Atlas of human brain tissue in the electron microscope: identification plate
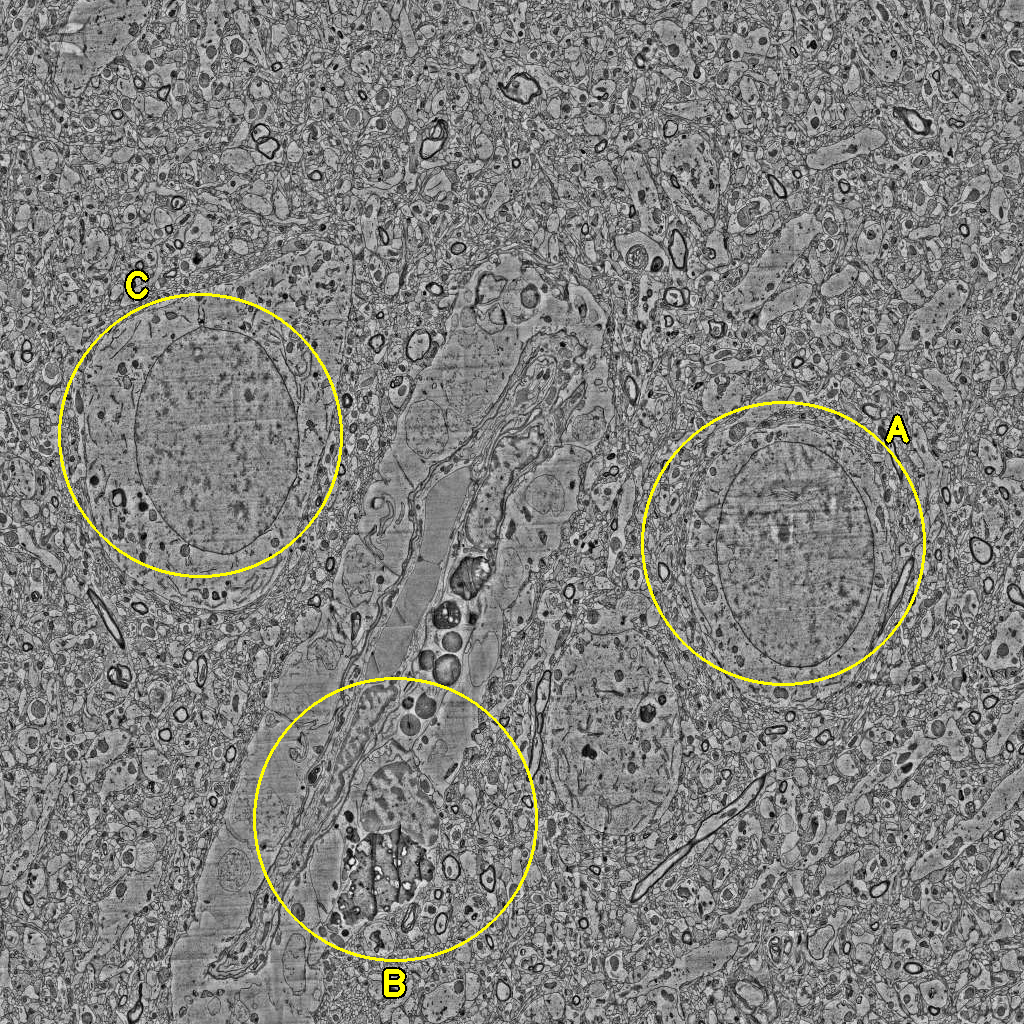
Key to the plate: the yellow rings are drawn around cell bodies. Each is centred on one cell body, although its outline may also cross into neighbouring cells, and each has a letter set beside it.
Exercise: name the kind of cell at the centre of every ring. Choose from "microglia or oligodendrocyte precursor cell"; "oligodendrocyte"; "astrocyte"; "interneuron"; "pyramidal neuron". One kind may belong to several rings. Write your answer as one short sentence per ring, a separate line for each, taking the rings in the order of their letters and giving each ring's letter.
The centre of ring A is occupied by a pyramidal neuron.
The centre of ring B is occupied by a microglial cell or oligodendrocyte precursor cell.
The centre of ring C is occupied by a pyramidal neuron.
